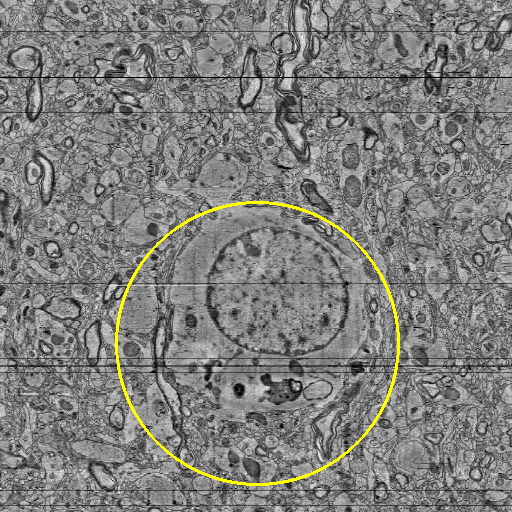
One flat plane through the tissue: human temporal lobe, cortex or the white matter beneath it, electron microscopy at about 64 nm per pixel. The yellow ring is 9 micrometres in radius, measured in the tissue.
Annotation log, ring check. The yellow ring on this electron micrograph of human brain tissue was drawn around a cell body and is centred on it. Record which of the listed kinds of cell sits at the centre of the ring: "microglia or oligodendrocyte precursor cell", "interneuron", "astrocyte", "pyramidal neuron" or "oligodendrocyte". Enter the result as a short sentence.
The cell at the centre of the ring is an astrocyte.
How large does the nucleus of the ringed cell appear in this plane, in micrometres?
Roughly 9 micrometres across, measured in this plane.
